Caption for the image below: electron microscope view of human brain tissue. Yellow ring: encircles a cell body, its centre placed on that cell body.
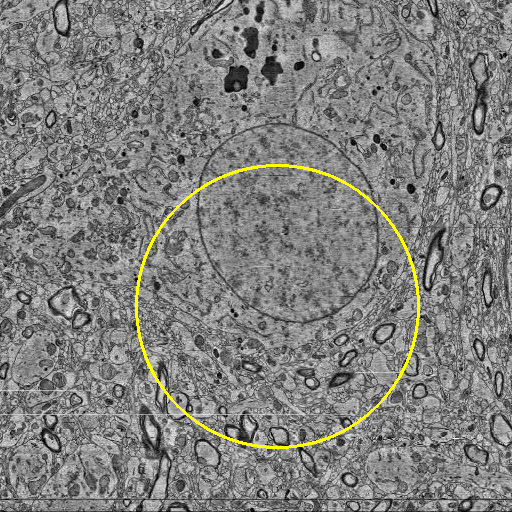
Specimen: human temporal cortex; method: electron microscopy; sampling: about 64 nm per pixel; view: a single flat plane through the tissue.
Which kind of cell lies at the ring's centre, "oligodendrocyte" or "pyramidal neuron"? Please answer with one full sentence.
The picture shows a pyramidal neuron at the centre of the yellow ring.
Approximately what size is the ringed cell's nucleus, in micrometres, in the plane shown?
In this plane, about 13 micrometres in length and 11 in width.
